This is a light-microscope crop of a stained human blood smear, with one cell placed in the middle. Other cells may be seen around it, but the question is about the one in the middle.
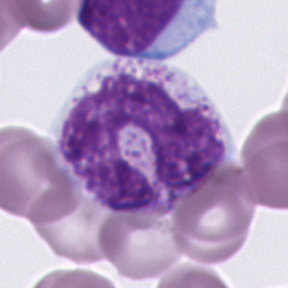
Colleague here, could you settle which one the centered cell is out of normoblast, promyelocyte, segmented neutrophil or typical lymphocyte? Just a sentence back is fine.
Located at the centre of the crop is a segmented neutrophil.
